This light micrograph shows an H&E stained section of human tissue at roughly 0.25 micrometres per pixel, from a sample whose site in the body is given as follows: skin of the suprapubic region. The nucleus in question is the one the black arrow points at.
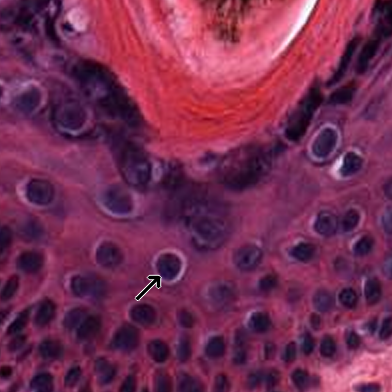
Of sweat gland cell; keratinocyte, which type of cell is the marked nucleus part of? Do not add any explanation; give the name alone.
keratinocyte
